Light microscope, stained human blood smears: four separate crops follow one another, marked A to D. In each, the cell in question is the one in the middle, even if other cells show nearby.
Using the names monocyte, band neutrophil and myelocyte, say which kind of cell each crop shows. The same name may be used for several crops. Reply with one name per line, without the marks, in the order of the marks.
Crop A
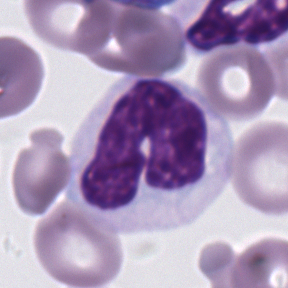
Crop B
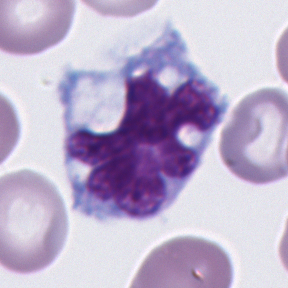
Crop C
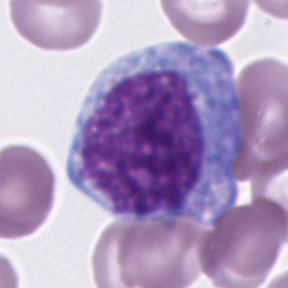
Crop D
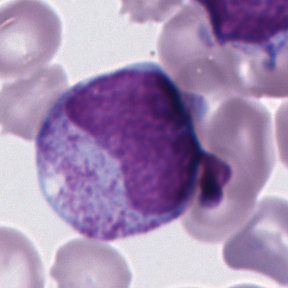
band neutrophil
monocyte
monocyte
myelocyte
